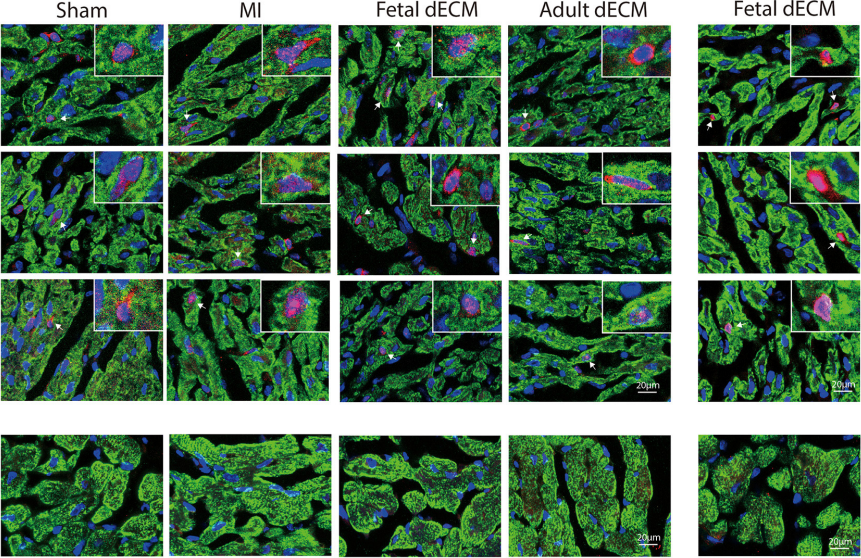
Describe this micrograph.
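This is a grid of heart muscle sections in which the cardiomyocytes are filled with green, with blue nuclei. A few nuclei inside the fibres are red or pink, and white arrows point to them. Enlarged insets in the corners show these nuclei. In the bottom row the fibres are cut more across and appear as broad, rounded green profiles, and no red nuclei are marked.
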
